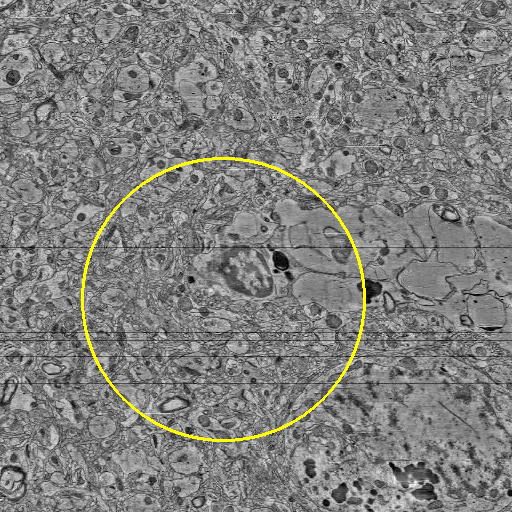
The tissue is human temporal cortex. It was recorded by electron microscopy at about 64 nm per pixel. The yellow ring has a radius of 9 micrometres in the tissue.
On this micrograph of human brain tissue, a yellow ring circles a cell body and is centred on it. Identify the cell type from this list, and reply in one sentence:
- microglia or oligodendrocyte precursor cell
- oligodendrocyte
The cell at the centre is a microglial cell or oligodendrocyte precursor cell.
